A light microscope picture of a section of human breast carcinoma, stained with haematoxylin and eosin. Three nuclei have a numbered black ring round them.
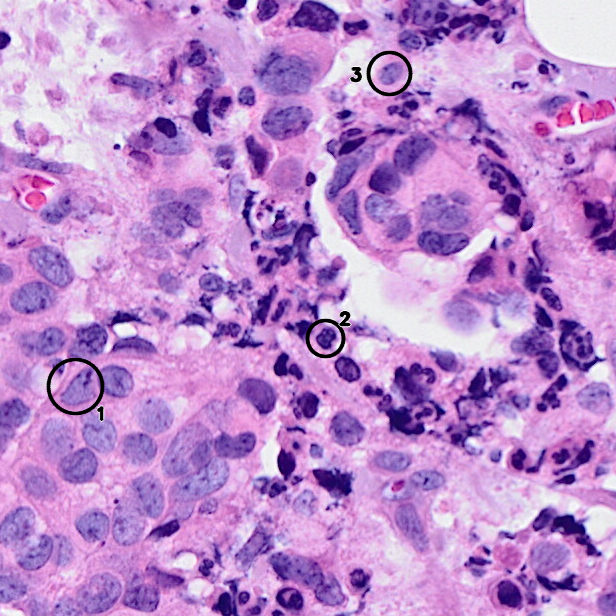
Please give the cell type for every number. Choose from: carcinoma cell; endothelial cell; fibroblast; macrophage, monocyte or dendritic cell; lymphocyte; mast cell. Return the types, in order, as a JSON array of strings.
["carcinoma cell", "lymphocyte", "mast cell"]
